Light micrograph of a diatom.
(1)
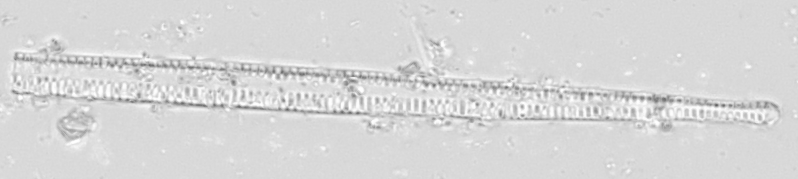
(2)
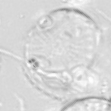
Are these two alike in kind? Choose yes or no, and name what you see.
No. First Tabularia, second Stephanodiscus.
